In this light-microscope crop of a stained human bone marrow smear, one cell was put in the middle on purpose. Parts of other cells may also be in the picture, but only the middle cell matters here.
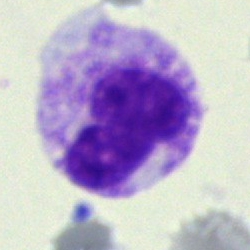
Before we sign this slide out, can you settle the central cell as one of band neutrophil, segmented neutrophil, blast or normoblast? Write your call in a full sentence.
In the center of this field lies a band neutrophil.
